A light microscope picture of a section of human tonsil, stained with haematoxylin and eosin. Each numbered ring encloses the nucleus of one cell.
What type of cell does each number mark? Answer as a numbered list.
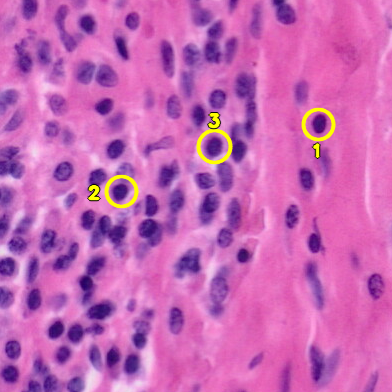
1. mast cell
2. plasma cell
3. plasma cell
